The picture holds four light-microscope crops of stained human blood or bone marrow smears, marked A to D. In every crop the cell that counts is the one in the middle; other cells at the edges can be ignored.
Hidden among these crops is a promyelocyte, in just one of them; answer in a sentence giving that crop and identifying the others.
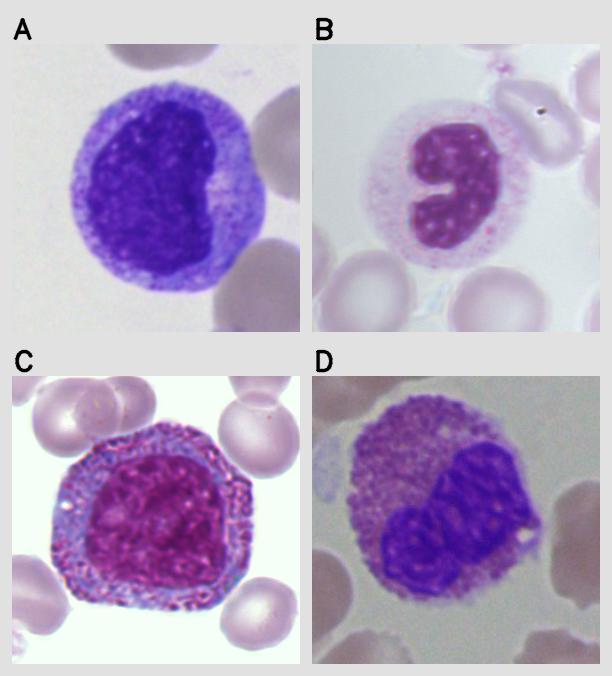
The cell centred in crop C is a promyelocyte; by contrast, crop A is a metamyelocyte, crop B is a band neutrophil and crop D is an eosinophil.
